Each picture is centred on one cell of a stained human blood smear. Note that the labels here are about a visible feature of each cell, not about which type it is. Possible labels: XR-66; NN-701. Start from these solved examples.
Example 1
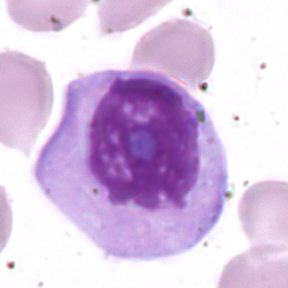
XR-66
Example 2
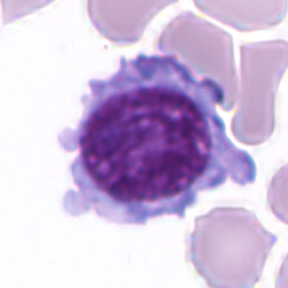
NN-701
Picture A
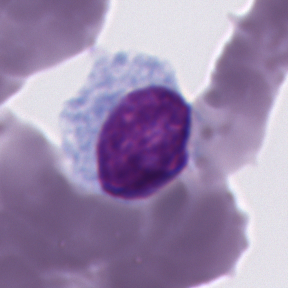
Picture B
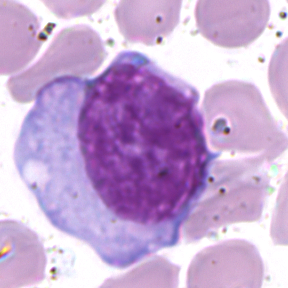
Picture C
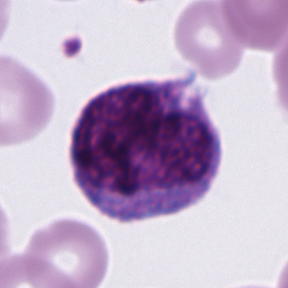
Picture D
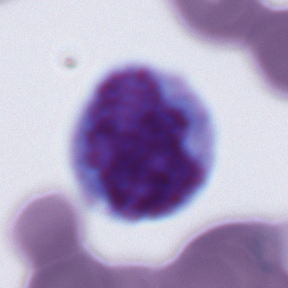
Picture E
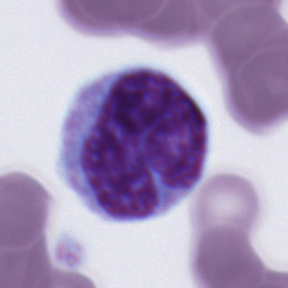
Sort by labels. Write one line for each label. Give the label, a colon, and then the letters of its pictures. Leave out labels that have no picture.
XR-66: A, B
NN-701: C, D, E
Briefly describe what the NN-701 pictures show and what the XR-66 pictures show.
NN-701, scant cytoplasm; XR-66, abundant cytoplasm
